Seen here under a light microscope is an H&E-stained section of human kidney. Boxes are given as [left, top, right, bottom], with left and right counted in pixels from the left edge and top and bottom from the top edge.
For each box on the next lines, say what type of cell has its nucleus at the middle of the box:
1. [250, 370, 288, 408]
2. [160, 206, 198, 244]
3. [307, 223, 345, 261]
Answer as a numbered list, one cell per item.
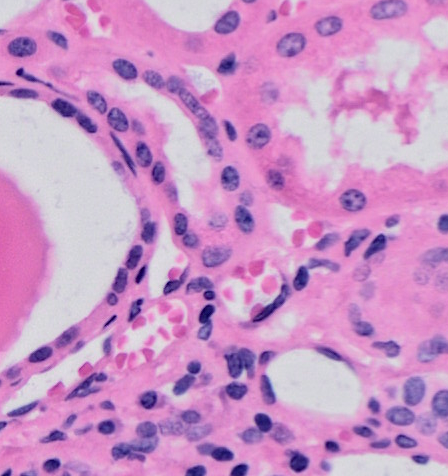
1. endothelial cell
2. collecting duct cell
3. endothelial cell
